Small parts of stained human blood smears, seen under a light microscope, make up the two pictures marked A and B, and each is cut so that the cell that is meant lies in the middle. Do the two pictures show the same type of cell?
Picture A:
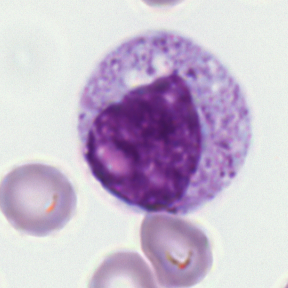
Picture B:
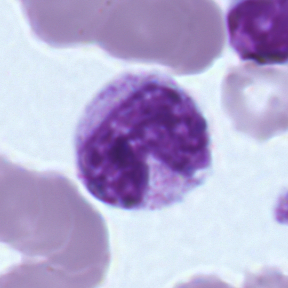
no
